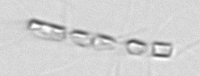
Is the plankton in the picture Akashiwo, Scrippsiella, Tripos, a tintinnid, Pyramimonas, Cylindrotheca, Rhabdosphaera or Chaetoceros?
It is Chaetoceros.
